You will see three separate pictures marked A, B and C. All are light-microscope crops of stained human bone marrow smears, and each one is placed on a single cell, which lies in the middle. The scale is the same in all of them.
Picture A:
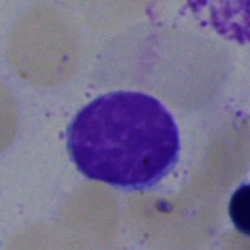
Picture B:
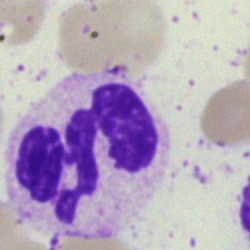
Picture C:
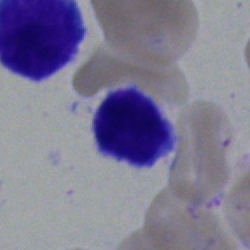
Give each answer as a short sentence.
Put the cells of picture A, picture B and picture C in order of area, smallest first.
From the smallest up, the order is C, A, B.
